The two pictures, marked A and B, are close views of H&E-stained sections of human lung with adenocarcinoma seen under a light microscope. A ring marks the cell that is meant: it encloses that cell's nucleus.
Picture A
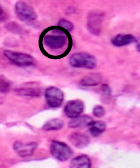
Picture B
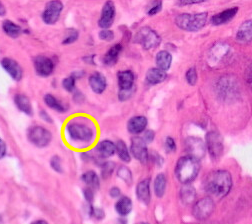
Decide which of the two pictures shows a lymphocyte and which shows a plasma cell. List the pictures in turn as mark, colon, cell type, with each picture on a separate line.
A: plasma cell
B: lymphocyte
